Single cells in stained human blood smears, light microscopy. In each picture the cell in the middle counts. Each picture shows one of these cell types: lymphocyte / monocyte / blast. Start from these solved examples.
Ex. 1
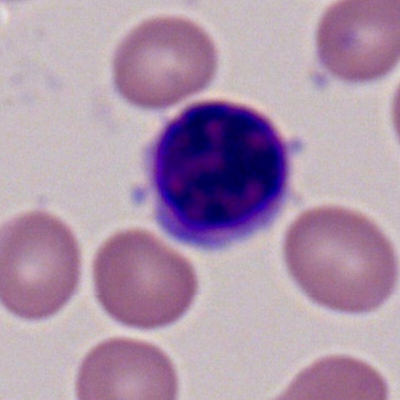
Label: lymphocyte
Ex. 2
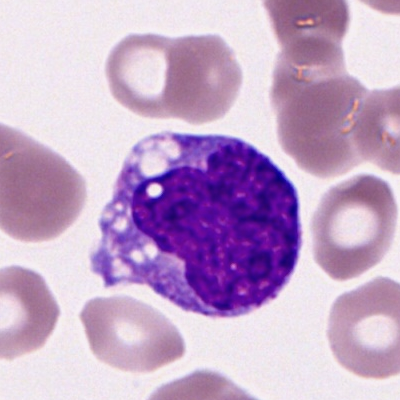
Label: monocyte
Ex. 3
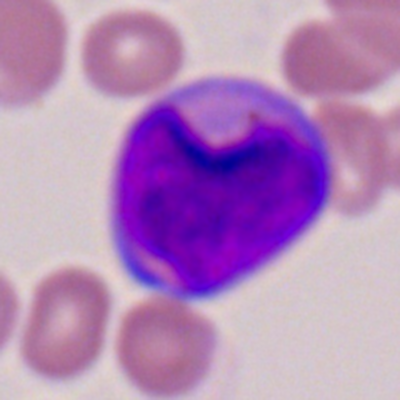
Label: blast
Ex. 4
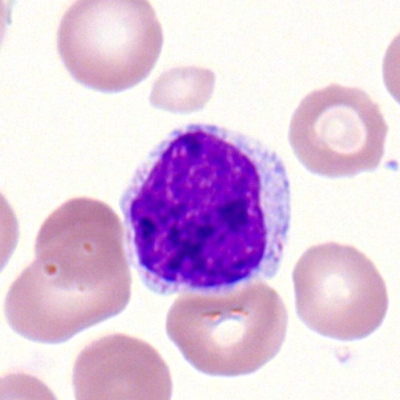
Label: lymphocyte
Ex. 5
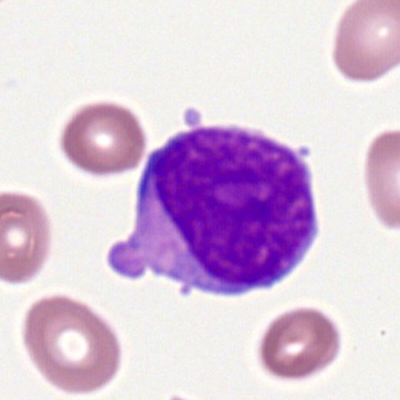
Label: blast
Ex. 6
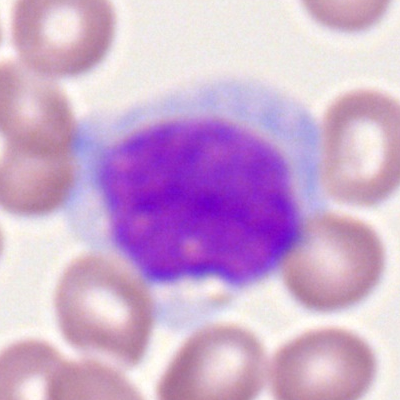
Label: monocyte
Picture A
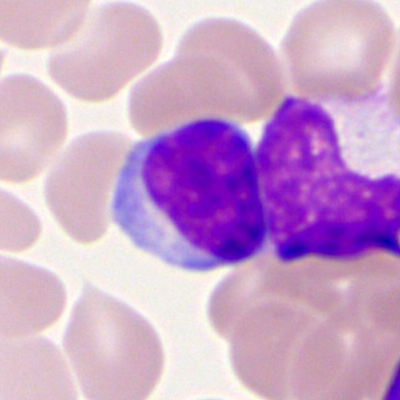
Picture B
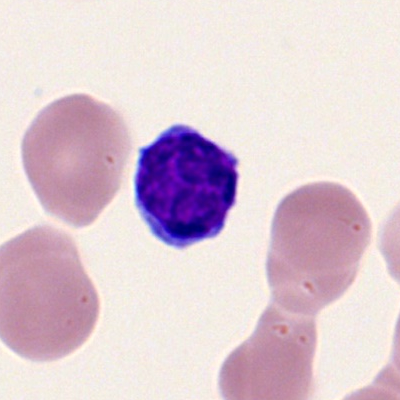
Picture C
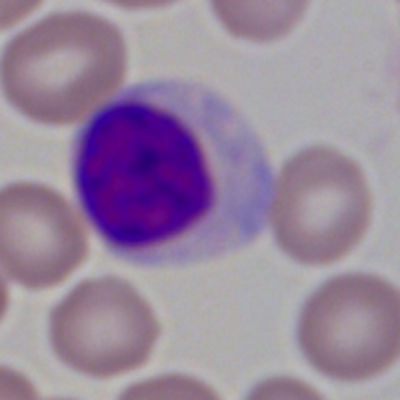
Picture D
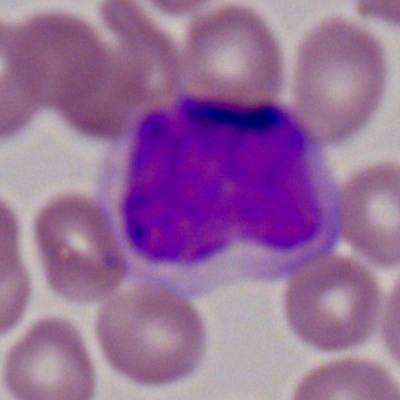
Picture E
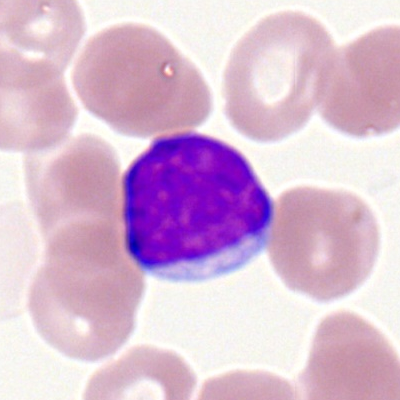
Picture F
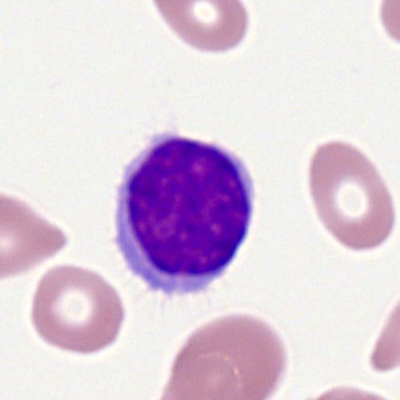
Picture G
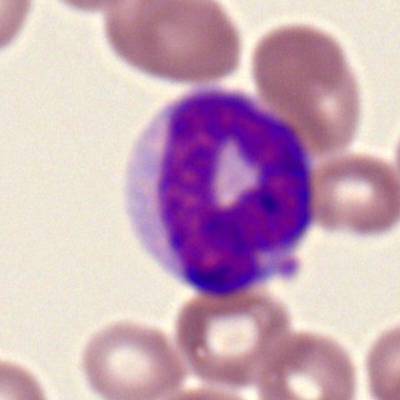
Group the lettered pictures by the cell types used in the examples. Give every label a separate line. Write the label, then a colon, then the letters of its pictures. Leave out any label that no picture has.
lymphocyte: A, B, C, E, F
monocyte: G
blast: D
